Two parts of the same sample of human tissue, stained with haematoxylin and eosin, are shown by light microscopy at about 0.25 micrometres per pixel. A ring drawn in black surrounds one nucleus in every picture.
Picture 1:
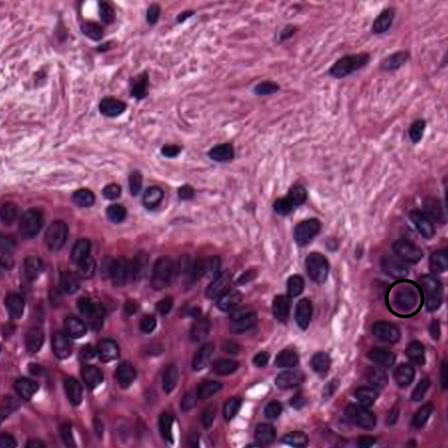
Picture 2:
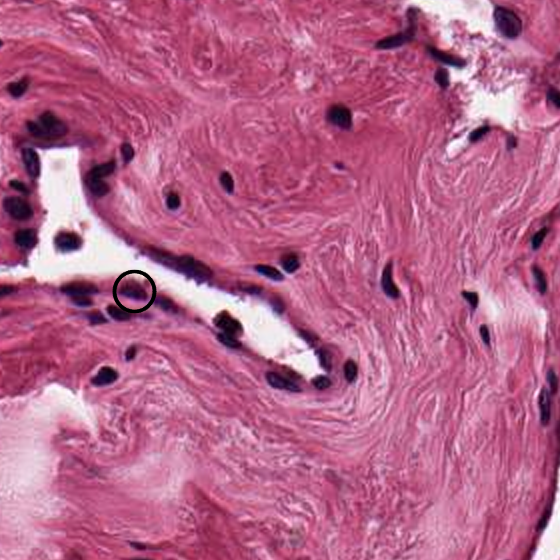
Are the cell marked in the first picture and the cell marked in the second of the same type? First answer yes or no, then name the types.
No, the first is a squamous epithelial cell and the second an endothelial cell.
